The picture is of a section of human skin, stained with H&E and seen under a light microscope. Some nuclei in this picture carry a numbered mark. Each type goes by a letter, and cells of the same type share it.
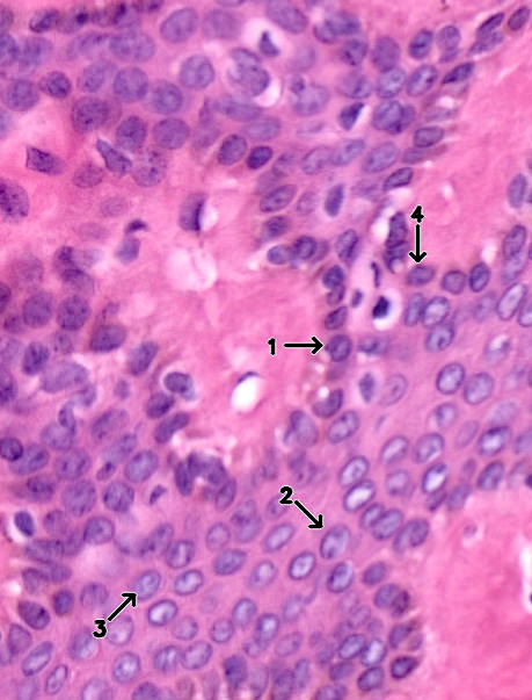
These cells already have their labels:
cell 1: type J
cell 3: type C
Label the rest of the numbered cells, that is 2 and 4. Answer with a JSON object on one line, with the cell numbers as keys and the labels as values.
{"2": "type C", "4": "type J"}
